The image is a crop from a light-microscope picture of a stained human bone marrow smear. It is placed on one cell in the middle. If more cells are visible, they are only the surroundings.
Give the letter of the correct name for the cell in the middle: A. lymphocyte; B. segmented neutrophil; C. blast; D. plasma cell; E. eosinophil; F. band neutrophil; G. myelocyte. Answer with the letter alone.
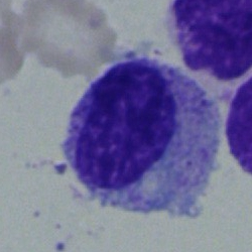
G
